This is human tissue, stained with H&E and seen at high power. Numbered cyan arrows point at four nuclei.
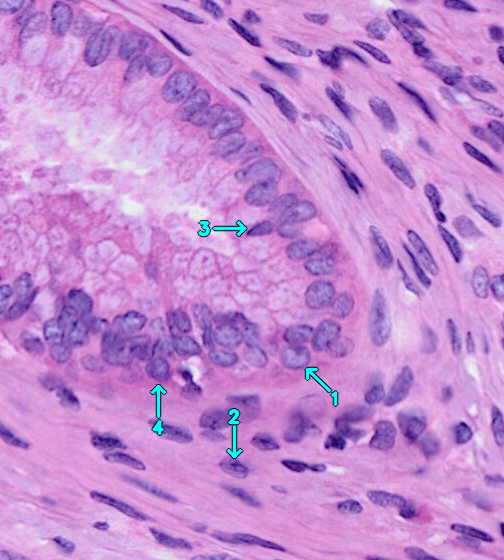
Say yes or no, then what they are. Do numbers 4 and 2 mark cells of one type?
No, as to type, cell 4 is a secretory epithelial cell, and cell 2 is a fibroblast.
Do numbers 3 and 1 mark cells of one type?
Yes, among the marked cells, numbers 3 and 1 are both secretory epithelial cells.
